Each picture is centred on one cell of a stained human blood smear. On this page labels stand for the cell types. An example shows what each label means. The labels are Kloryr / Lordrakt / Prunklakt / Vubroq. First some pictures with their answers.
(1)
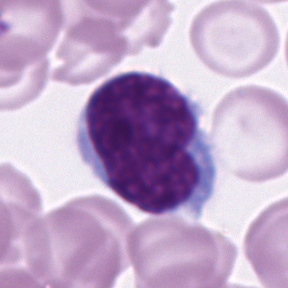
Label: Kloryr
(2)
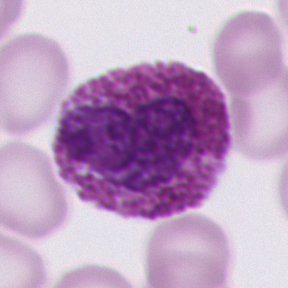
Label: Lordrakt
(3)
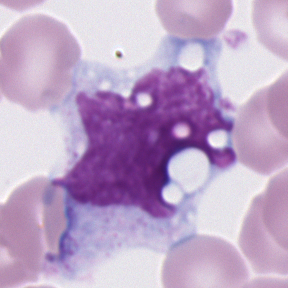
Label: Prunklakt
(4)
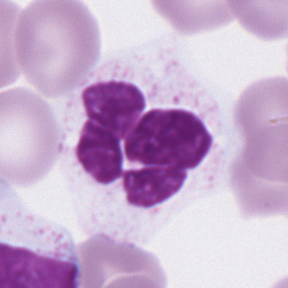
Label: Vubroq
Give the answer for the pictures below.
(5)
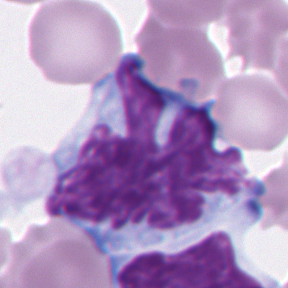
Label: Prunklakt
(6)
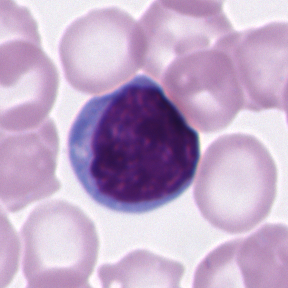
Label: Kloryr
